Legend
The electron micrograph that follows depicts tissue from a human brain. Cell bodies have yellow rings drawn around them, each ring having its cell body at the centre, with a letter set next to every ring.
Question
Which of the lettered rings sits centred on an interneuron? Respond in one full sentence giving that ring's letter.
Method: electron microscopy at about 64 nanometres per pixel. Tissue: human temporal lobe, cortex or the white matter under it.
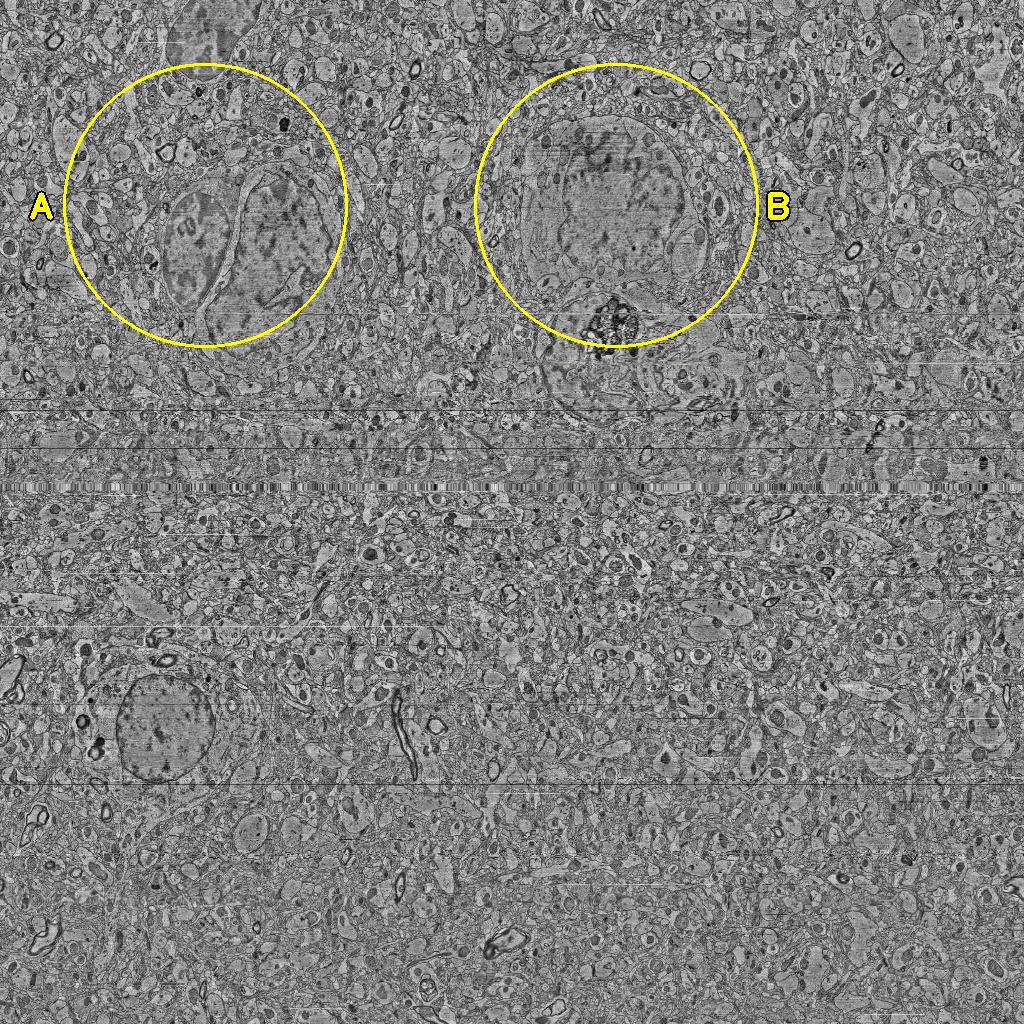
The letter B belongs to the ring centred on the cell asked about in the micrograph.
